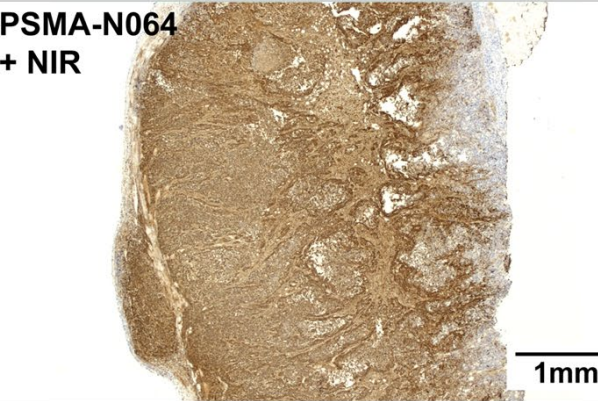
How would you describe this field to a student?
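This is a low-power section of a solid tumor in which nearly the entire tissue is stained diffusely dark brown, with only a narrow rim at the edge retaining a bluish counterstain. The brown staining extends through irregular streaming bands and nests of tumor tissue, with paler, loosened areas and small empty clefts toward one side.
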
